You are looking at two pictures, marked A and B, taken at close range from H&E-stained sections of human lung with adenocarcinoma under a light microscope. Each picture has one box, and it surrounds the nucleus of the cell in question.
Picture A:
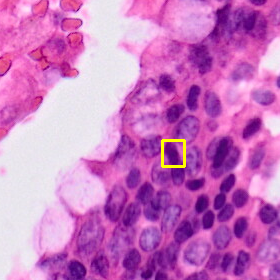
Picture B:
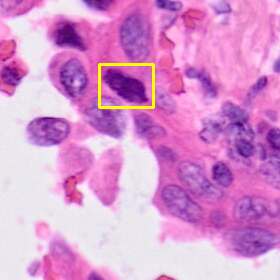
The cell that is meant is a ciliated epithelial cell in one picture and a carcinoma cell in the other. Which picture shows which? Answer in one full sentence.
The cell in picture A is a ciliated epithelial cell, and the one in picture B is a carcinoma cell.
